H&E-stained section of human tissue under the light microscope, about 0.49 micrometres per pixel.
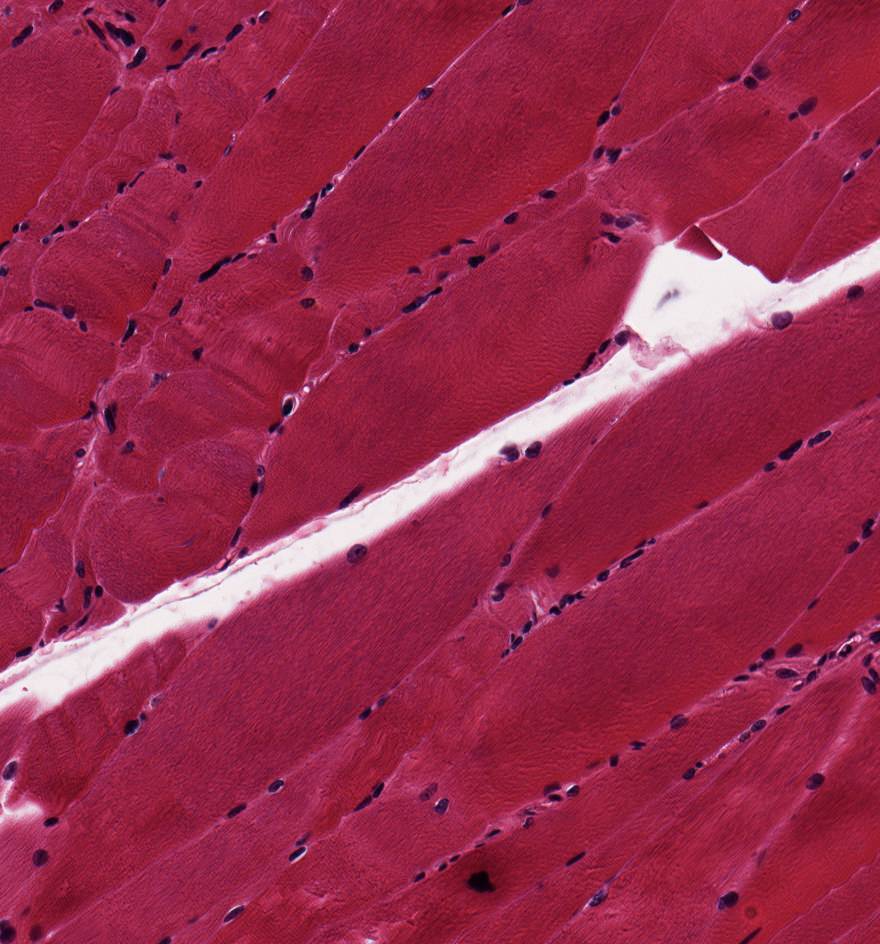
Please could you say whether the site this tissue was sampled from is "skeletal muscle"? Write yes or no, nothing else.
yes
